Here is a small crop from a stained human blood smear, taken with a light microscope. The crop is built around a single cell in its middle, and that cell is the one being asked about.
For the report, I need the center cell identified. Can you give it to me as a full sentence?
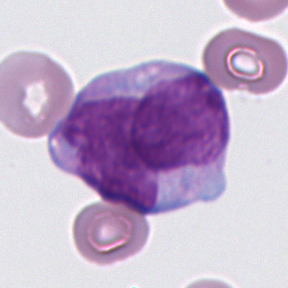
In the middle of this smear crop, the cell is an atypical promyelocyte.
